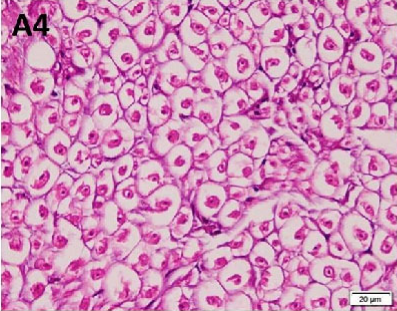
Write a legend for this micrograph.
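This transverse section of a nerve trunk shows many closely packed nerve fibres cut in cross section. Each fibre appears as a round to polygonal clear space with a small pink, acidophilic axon near its centre. Thin pink-purple rims of sheath and endoneurium surround each clear space and join into a fine network between neighbouring fibres. A few small dark nuclei lie in the connective tissue between the fibres.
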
